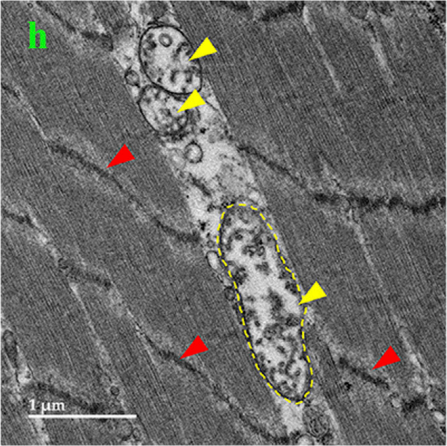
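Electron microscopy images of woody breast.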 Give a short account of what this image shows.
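Longitudinally cut muscle myofibrils run diagonally, their dark transverse bands irregular and smeared rather than crisp, and between two bundles lies a pale space holding a chain of mitochondria with sparse, fragmented inner membranes. This shows Z-line streaming and mitochondria with degraded cristae.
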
